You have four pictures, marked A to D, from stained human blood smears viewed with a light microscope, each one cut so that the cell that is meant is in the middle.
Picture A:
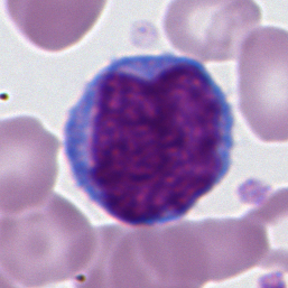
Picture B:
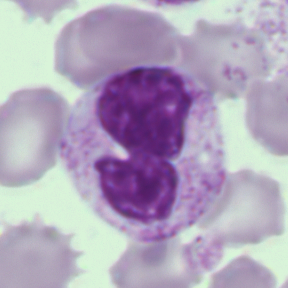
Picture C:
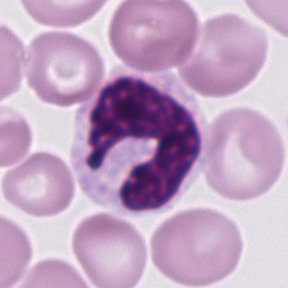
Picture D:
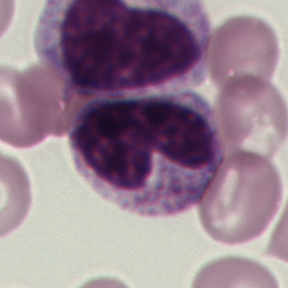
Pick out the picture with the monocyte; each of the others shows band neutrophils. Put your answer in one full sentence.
The monocyte is the one in picture A.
